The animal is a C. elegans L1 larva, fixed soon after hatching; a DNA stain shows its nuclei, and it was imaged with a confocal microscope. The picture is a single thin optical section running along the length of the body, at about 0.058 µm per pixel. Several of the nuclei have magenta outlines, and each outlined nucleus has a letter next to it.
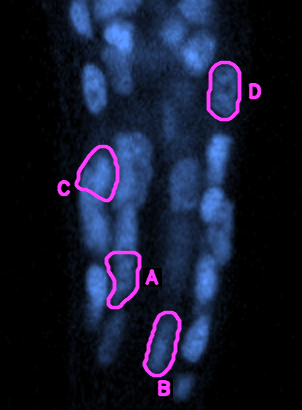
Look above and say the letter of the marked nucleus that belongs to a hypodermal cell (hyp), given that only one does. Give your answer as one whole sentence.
Nucleus D belongs to a hypodermal cell (hyp).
